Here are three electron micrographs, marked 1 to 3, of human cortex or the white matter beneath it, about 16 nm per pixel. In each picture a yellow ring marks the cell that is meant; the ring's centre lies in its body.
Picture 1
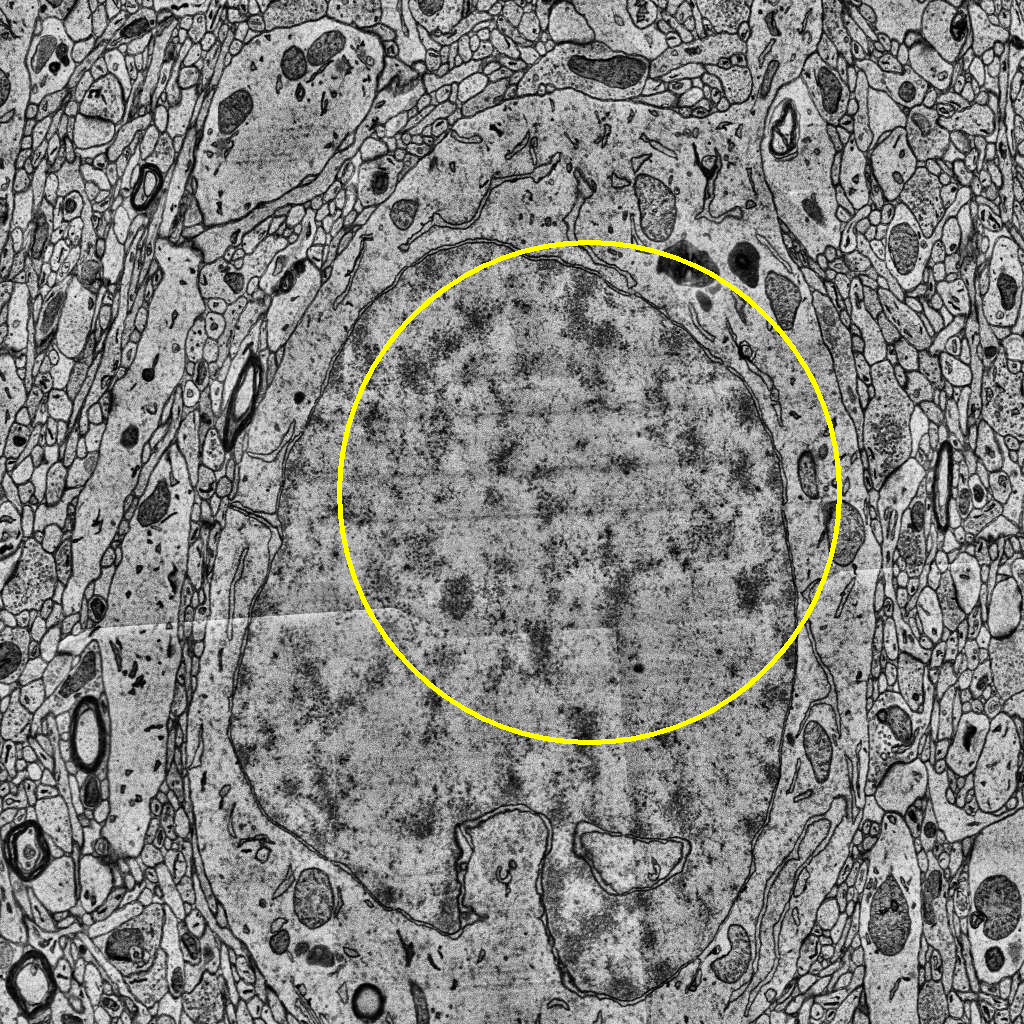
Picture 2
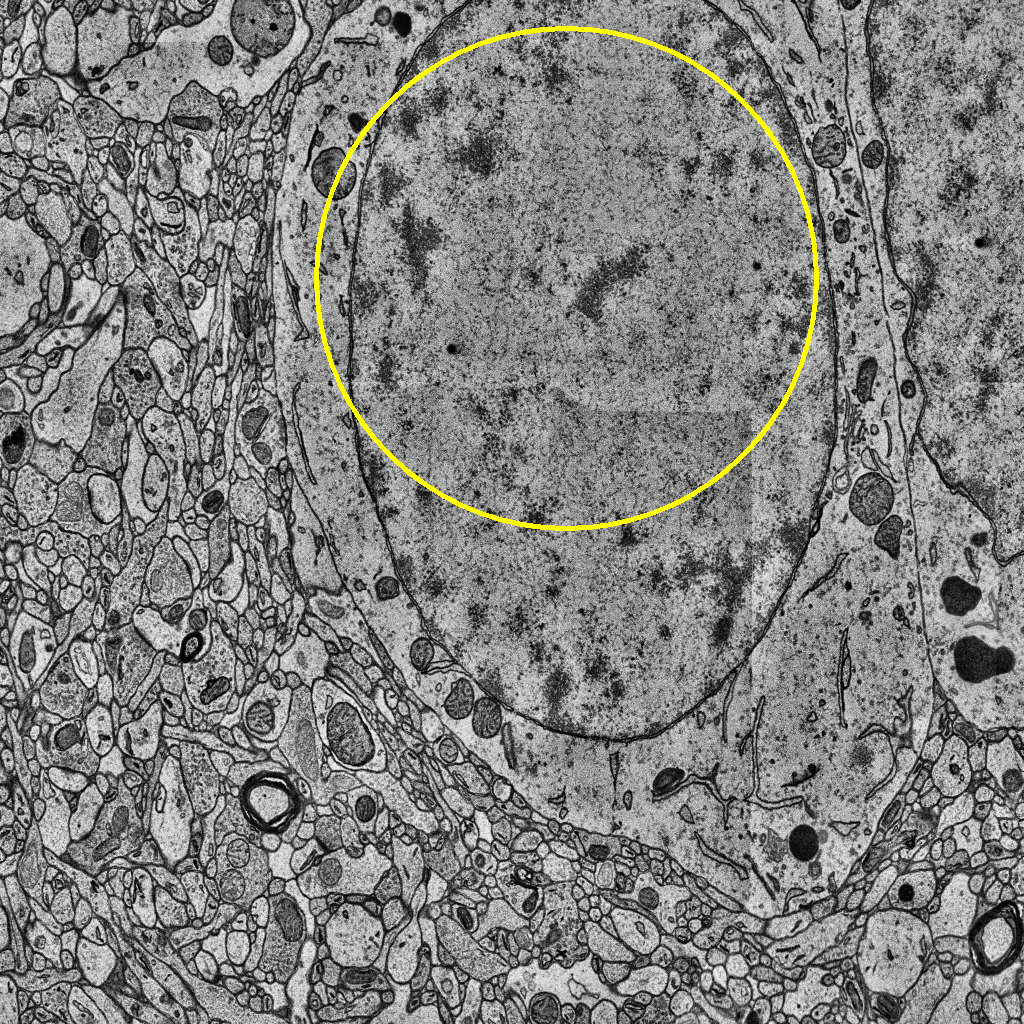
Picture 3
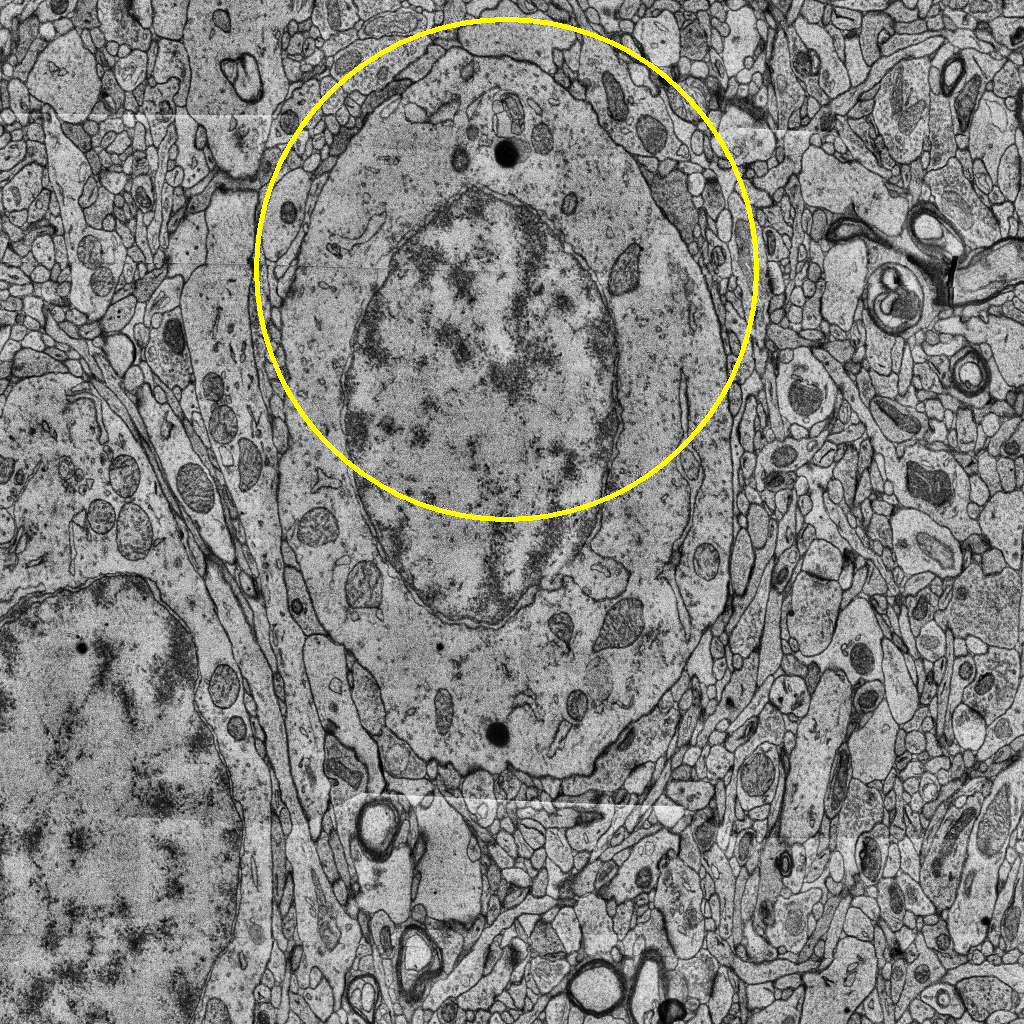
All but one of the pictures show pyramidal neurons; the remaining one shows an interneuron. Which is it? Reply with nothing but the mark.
1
